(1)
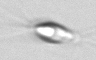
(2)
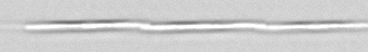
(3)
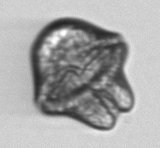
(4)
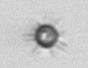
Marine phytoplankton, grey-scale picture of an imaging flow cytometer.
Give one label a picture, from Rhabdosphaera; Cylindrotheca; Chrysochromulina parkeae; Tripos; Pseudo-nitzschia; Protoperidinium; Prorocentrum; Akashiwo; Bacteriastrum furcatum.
1. Chrysochromulina parkeae
2. Pseudo-nitzschia
3. Akashiwo
4. Rhabdosphaera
